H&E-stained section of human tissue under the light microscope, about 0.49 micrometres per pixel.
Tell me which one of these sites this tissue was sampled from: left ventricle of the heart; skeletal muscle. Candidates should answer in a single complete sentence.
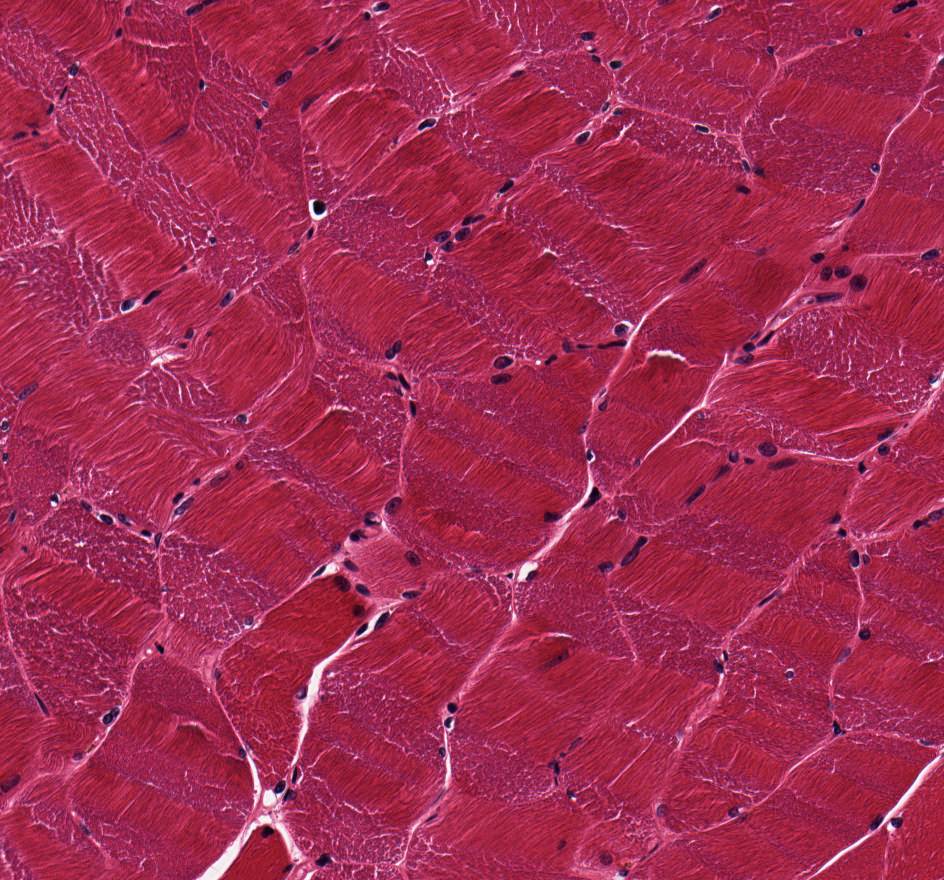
Tissue from the skeletal muscle was used for this section.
